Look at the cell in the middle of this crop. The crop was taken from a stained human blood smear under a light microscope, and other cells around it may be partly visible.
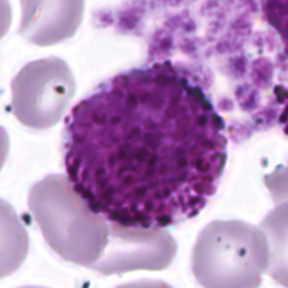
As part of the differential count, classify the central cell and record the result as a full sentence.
In the centre of this crop there is a basophil.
